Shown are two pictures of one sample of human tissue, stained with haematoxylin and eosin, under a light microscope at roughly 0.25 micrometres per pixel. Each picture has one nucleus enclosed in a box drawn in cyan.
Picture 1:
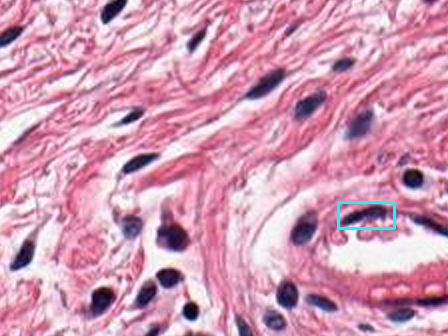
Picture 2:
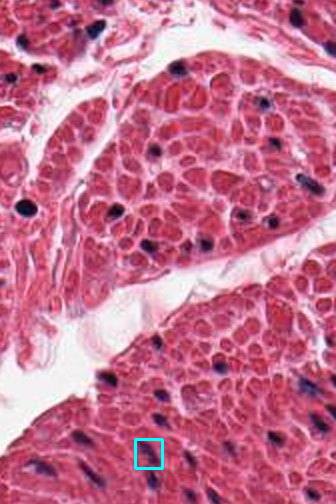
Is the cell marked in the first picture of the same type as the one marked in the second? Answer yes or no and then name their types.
No, the first is an endothelial cell and the second a smooth muscle cell.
